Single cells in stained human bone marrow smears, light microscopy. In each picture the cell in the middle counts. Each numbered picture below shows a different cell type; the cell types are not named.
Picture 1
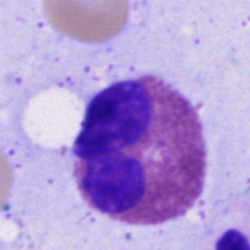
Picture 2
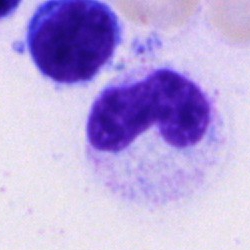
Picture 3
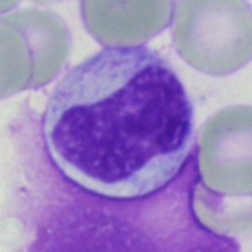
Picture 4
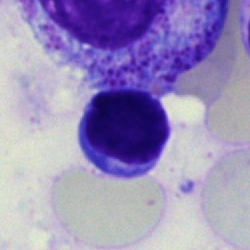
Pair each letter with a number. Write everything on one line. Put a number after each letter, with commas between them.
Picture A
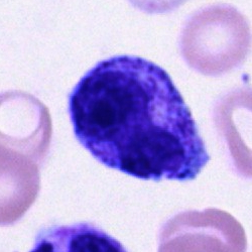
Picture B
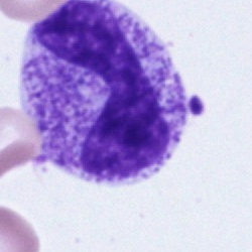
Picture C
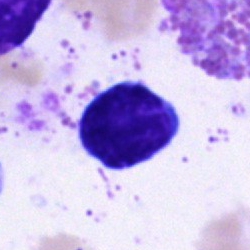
A 3, B 2, C 4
